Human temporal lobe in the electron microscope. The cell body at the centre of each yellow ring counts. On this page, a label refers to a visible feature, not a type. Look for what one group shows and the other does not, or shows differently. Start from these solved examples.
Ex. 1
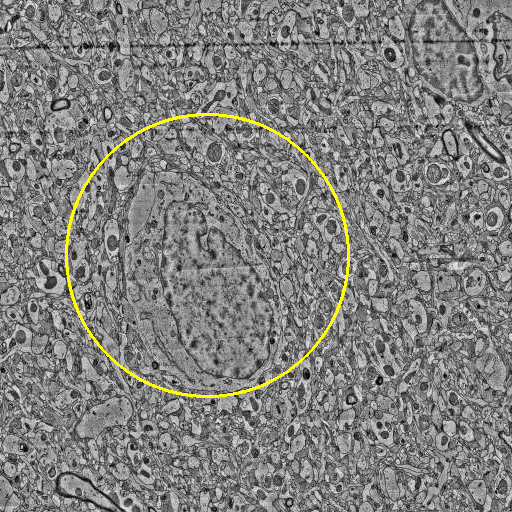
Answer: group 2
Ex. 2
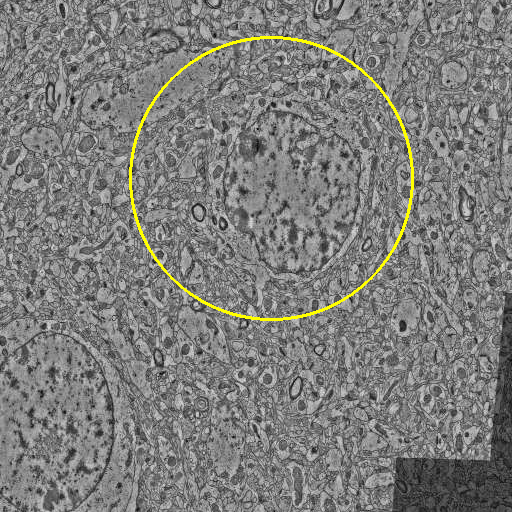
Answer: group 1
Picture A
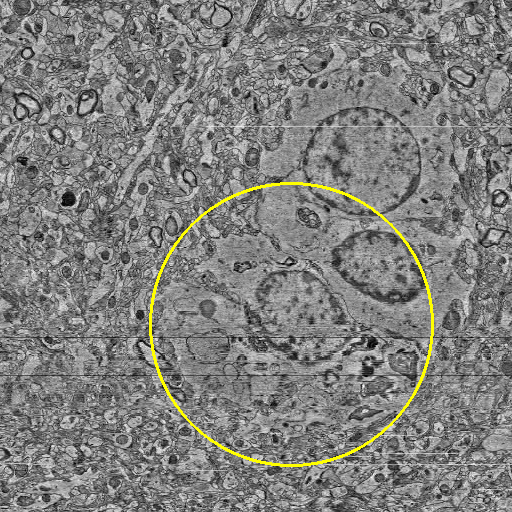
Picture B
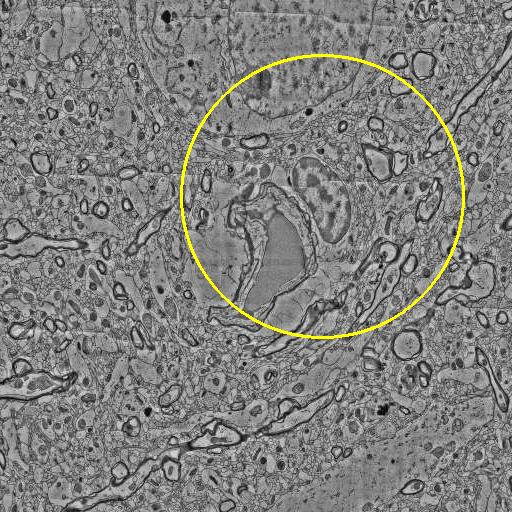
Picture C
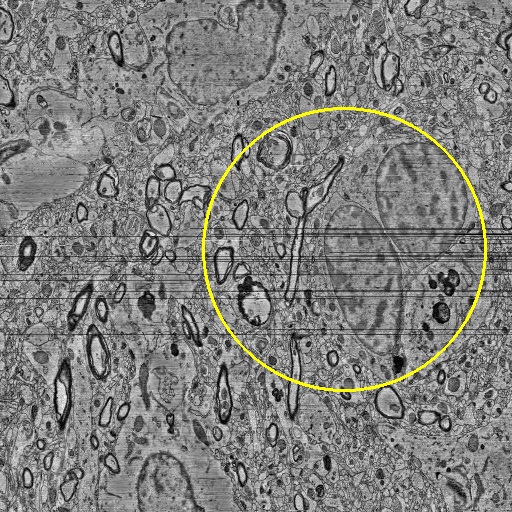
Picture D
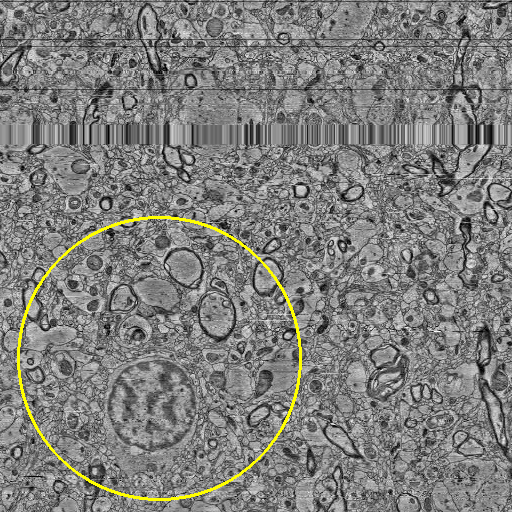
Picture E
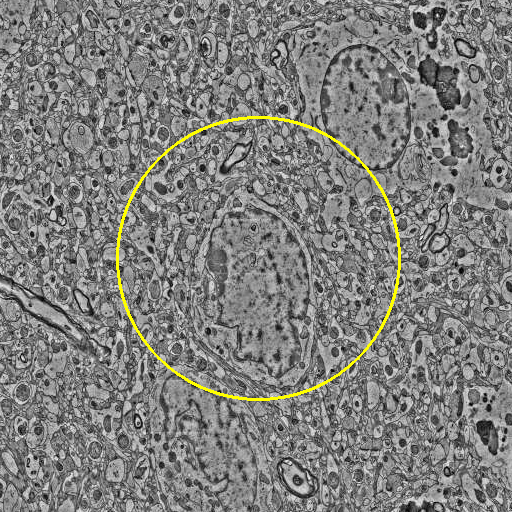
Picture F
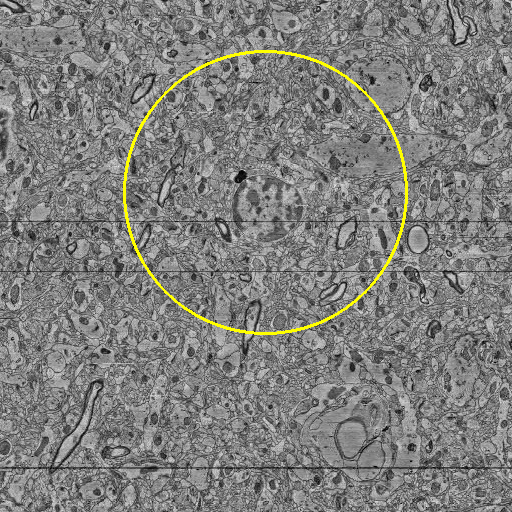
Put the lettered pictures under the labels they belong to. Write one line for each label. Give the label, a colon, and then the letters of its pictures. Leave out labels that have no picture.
group 2: B, C, E
group 1: A, D, F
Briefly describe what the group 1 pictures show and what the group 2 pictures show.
group 1: round or nearly round nuclei; group 2: clearly elongated nuclei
